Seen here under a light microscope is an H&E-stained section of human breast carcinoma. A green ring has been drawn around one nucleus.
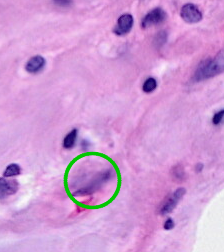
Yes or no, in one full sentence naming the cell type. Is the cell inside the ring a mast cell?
No, the cell inside the ring is classed as an endothelial cell, not as a mast cell.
